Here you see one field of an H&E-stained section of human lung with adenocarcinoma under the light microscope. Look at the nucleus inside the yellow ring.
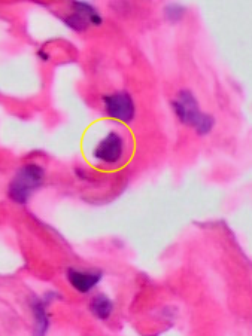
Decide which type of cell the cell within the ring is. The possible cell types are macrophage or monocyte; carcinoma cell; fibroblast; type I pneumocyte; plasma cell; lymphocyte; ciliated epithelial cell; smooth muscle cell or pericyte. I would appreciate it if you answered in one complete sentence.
It is a type I pneumocyte that the cell within the ring represents.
